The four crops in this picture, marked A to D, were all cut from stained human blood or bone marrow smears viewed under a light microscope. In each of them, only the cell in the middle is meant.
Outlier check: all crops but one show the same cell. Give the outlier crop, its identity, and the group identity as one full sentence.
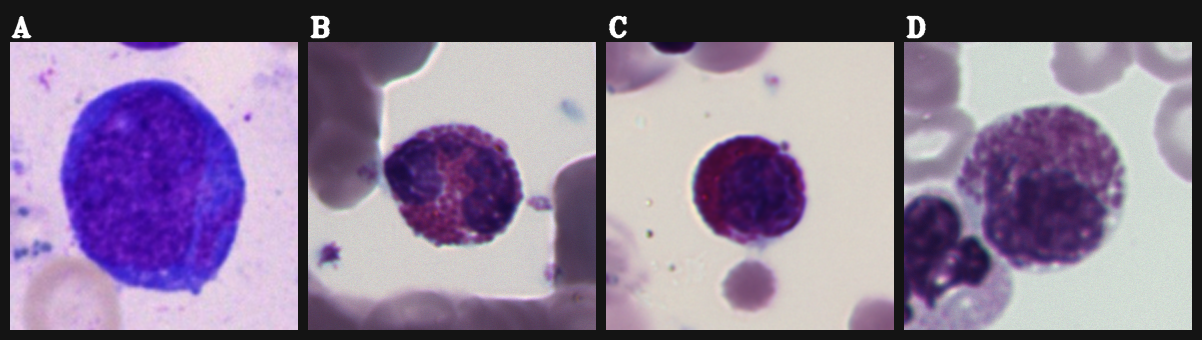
The single exception is crop A, which is a promyelocyte; all other crops show eosinophils.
